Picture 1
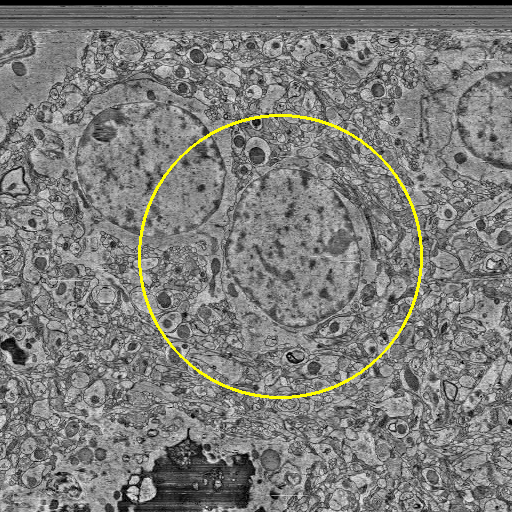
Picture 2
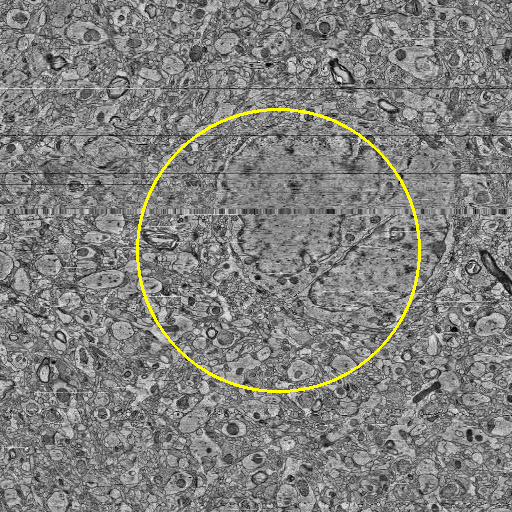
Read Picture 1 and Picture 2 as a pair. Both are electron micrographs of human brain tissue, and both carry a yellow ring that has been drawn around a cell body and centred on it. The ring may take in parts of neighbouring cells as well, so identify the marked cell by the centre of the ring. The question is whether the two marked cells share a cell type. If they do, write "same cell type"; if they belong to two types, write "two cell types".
two cell types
